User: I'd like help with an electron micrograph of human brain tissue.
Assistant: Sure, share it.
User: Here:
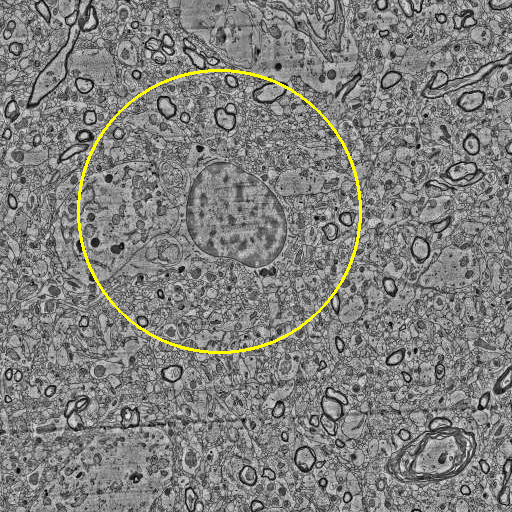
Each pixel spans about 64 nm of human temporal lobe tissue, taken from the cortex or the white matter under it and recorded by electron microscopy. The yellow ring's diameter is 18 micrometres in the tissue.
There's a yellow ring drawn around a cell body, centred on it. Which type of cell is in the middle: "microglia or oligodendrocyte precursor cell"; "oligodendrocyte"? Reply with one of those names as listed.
microglia or oligodendrocyte precursor cell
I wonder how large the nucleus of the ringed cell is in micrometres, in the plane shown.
In this plane, the nucleus of the cell at the centre of the ring measures about 7 by 6 micrometres.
